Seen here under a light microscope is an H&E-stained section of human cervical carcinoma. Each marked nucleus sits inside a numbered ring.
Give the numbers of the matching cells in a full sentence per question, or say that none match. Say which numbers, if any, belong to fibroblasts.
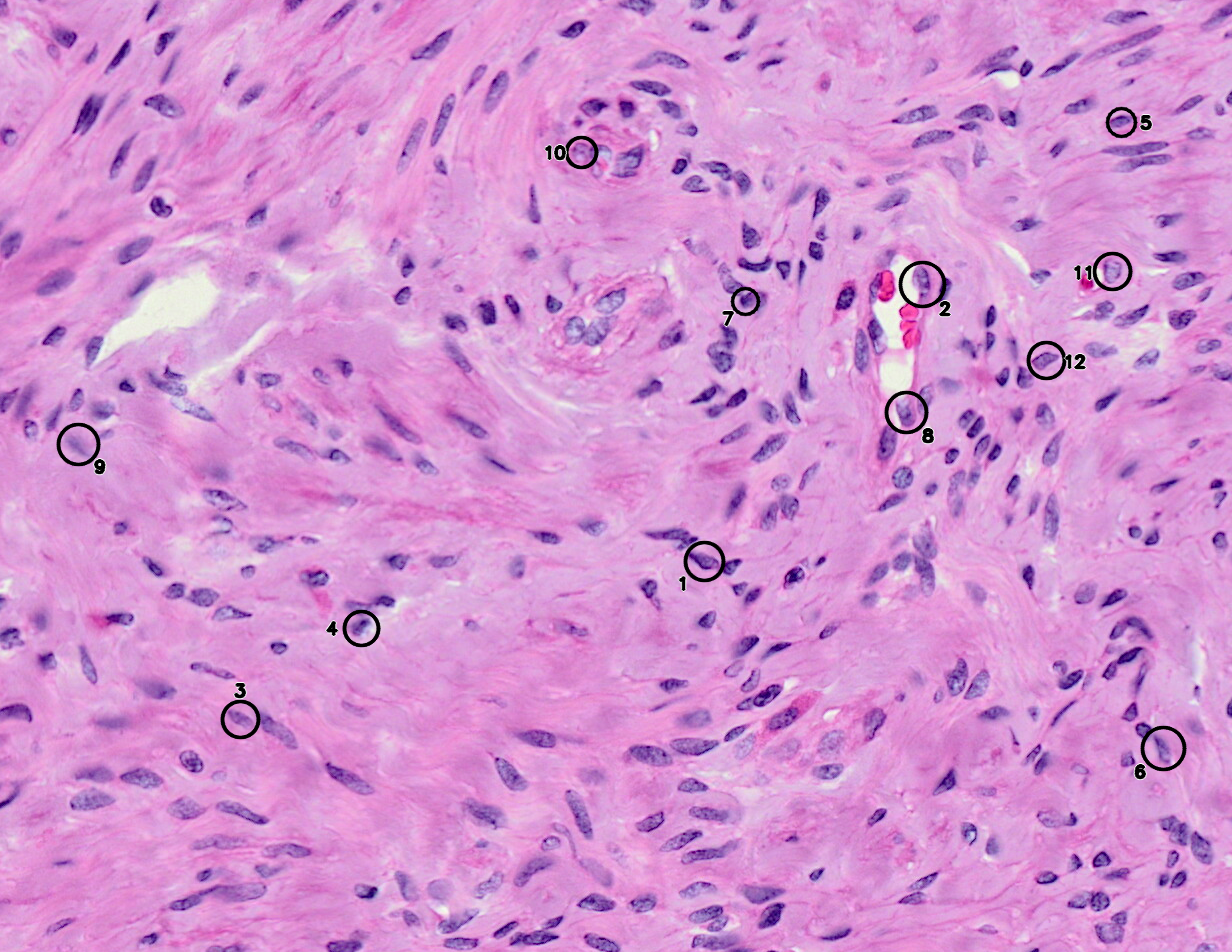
In this section, the cells numbered 1, 3, 4, 6, 7, 9 and 12 are fibroblasts.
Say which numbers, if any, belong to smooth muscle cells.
Response: cell 5 is a smooth muscle cell, and no other numbered cell is.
